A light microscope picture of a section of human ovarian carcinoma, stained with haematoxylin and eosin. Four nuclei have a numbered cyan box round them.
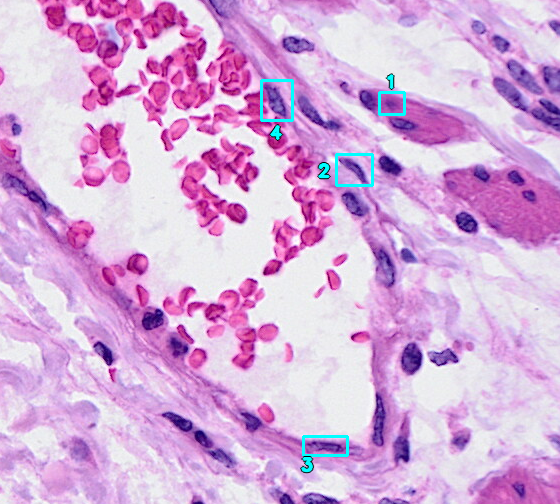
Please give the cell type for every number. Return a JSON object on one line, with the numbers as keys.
{"1": "smooth muscle cell", "2": "fibroblast", "3": "endothelial cell", "4": "endothelial cell"}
